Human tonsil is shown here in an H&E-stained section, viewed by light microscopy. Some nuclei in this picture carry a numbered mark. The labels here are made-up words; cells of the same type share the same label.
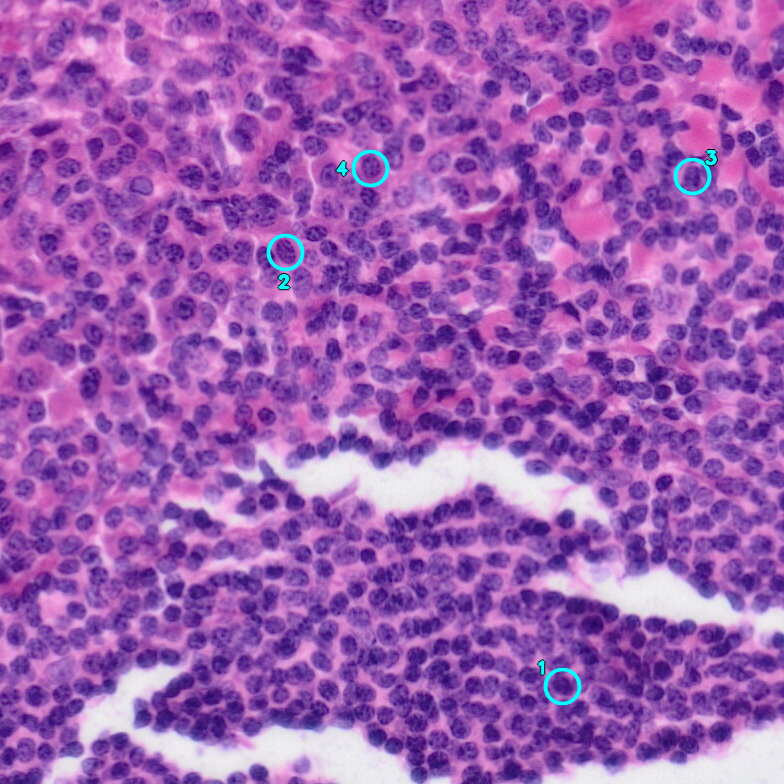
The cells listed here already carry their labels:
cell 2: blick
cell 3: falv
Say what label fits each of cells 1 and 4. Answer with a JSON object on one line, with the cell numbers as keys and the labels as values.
{"1": "falv", "4": "blick"}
